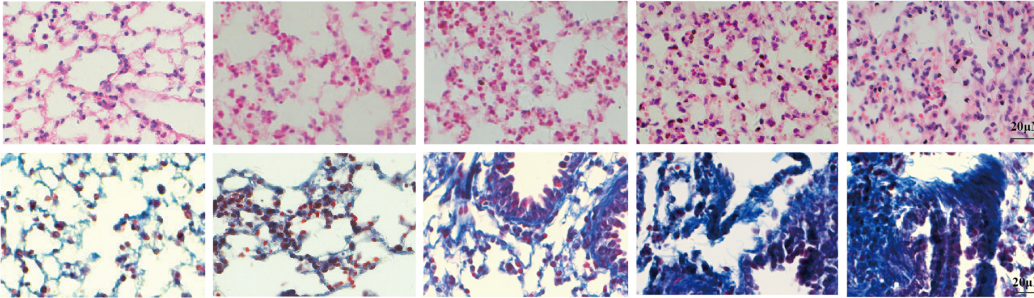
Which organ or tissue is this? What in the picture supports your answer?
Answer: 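In the leftmost images, thin septa surround large open air spaces in a lace-like pattern. The septa are only one or a few nuclei thick. The answer: lung.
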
